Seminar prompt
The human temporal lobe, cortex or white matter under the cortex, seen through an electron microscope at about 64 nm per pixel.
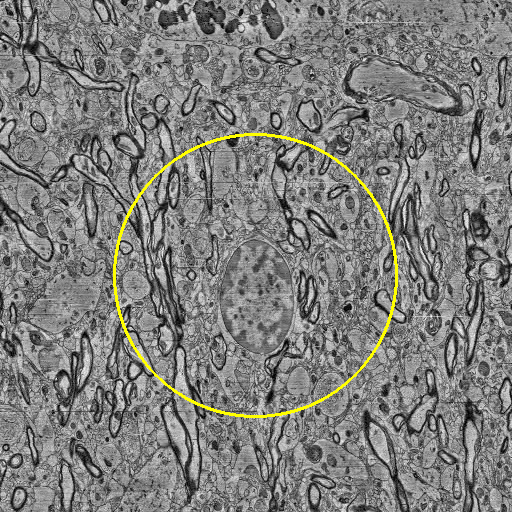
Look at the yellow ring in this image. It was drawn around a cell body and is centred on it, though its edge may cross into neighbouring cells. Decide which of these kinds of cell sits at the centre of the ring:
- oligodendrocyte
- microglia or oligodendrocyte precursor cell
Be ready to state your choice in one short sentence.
The kind of cell at the ring's centre is a microglial cell or oligodendrocyte precursor cell.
